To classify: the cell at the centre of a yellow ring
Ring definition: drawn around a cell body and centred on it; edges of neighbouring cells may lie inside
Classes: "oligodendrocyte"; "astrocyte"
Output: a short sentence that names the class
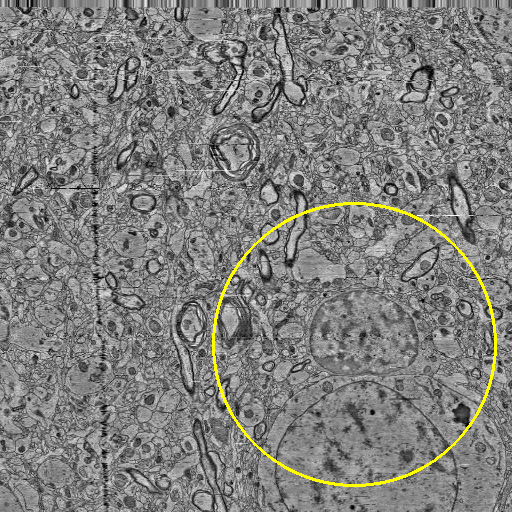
The ringed cell is an oligodendrocyte.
